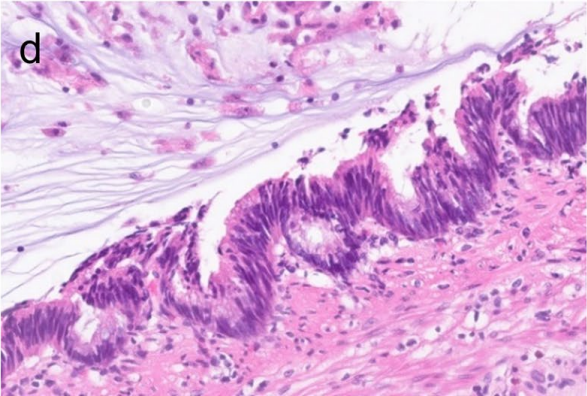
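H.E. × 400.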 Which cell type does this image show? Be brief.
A: High columnar tumor cells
